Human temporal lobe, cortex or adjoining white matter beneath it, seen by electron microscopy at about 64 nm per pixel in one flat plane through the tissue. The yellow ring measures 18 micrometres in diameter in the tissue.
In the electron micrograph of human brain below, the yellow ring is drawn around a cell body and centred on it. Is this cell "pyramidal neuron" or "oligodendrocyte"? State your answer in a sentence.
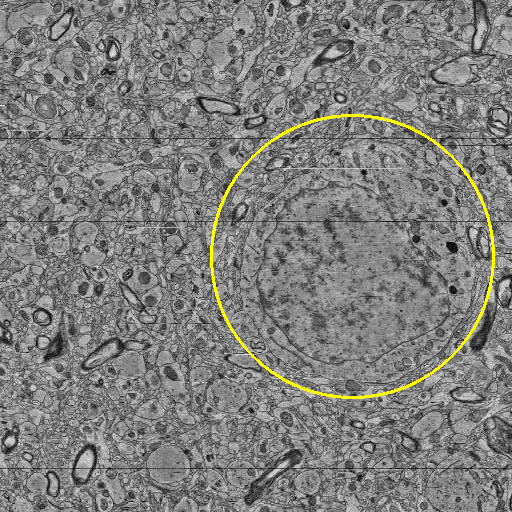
The cell in the middle of the ring is a pyramidal neuron.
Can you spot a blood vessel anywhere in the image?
No, the image shows no blood vessel.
